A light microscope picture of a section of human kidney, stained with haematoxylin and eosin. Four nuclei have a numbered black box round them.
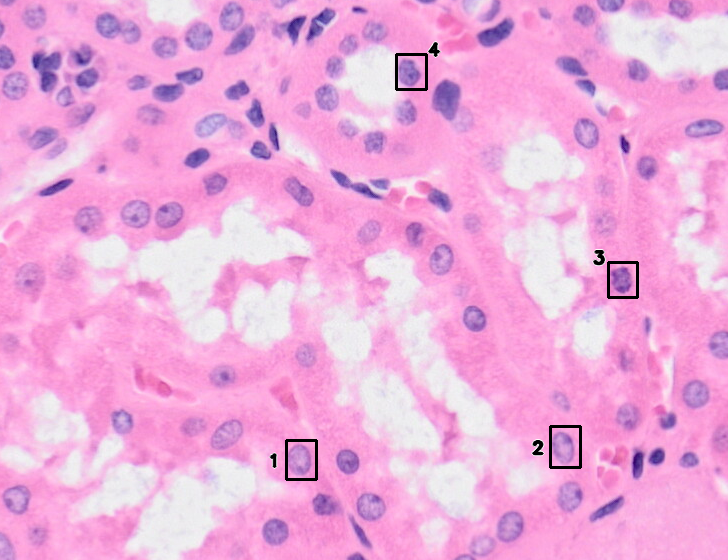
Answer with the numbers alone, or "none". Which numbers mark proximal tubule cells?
1, 2, 3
